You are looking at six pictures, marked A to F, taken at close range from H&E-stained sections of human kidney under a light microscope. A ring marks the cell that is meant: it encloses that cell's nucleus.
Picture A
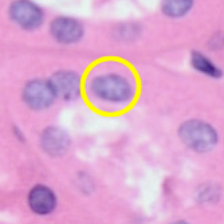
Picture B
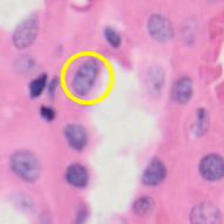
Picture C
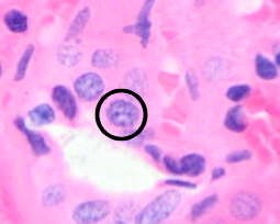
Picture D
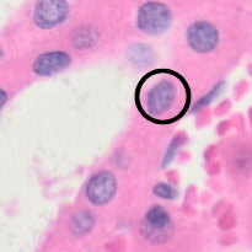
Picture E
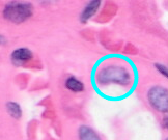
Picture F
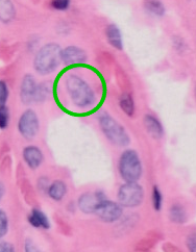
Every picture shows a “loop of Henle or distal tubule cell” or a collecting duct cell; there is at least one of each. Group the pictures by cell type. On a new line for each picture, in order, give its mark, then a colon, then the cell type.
A: loop of Henle or distal tubule cell
B: loop of Henle or distal tubule cell
C: collecting duct cell
D: loop of Henle or distal tubule cell
E: loop of Henle or distal tubule cell
F: collecting duct cell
